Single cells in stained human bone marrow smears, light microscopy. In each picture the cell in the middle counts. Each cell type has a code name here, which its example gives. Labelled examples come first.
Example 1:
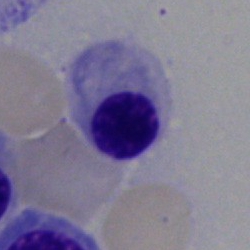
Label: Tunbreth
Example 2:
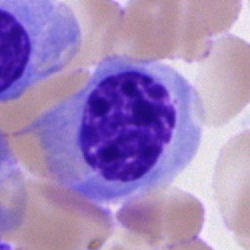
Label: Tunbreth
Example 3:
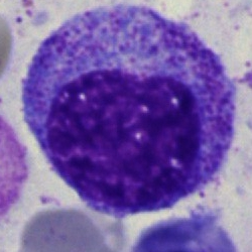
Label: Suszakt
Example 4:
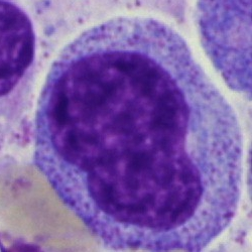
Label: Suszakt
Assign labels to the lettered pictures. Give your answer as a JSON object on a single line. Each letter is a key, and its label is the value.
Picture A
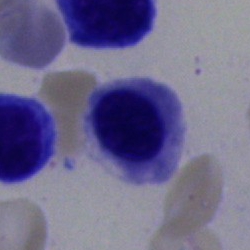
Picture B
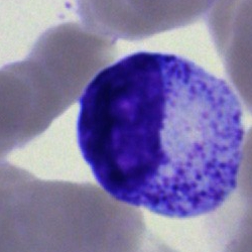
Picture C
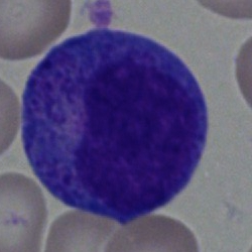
{"A": "Tunbreth", "B": "Suszakt", "C": "Suszakt"}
